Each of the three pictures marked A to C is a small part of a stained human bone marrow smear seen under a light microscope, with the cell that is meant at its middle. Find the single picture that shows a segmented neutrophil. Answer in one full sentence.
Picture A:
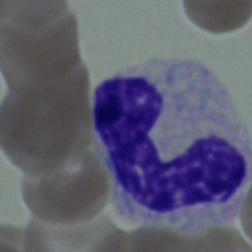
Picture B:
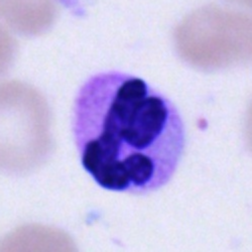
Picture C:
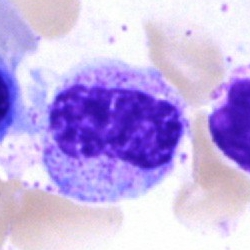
The picture with the segmented neutrophil is B.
